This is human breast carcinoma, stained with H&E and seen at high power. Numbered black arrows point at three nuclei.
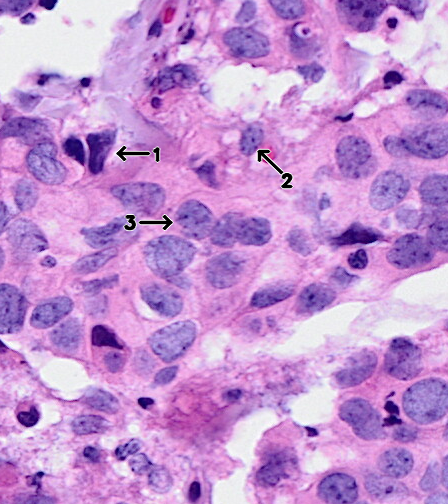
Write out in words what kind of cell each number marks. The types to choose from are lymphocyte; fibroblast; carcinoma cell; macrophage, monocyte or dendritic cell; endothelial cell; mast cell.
Cell 1 is a carcinoma cell, cell 2 is an endothelial cell and cell 3 is a carcinoma cell.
